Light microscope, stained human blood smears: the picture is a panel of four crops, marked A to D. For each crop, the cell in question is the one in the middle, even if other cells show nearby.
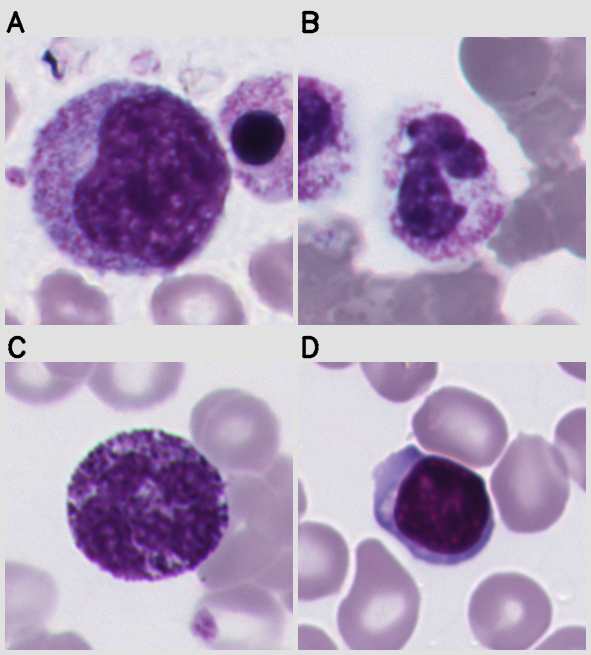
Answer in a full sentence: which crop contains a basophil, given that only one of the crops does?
In this series, a basophil is shown by crop C.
